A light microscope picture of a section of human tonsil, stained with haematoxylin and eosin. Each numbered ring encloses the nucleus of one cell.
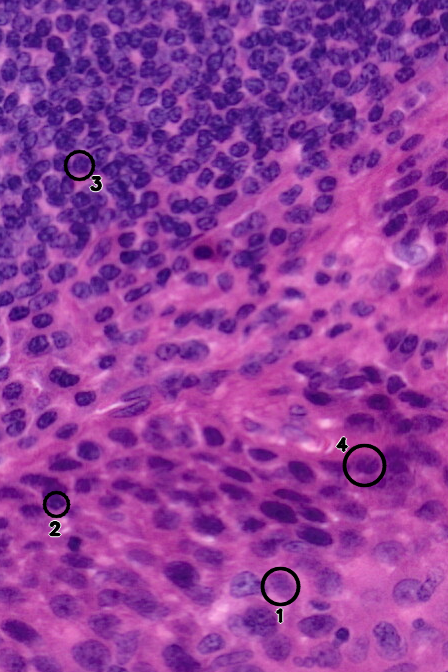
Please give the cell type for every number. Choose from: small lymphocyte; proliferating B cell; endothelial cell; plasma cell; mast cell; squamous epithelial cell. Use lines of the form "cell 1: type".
cell 1: squamous epithelial cell
cell 2: squamous epithelial cell
cell 3: small lymphocyte
cell 4: squamous epithelial cell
